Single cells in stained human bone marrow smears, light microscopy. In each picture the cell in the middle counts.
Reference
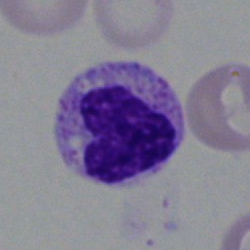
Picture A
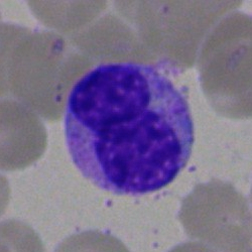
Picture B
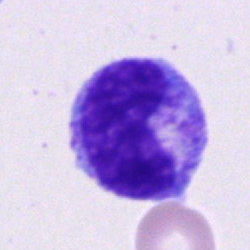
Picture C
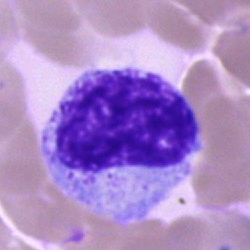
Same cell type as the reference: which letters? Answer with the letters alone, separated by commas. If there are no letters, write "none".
A, B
